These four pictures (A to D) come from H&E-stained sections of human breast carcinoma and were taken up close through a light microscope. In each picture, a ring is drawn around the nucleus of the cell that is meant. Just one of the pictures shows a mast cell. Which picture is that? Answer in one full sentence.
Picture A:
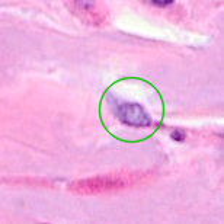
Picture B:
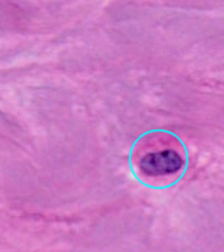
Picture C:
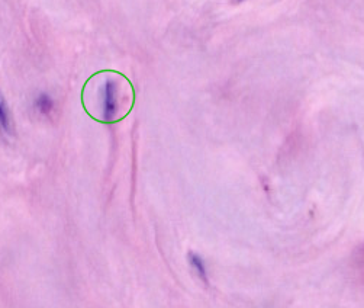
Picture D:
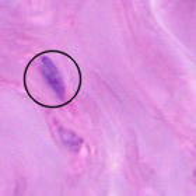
The cell in picture B is the mast cell.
